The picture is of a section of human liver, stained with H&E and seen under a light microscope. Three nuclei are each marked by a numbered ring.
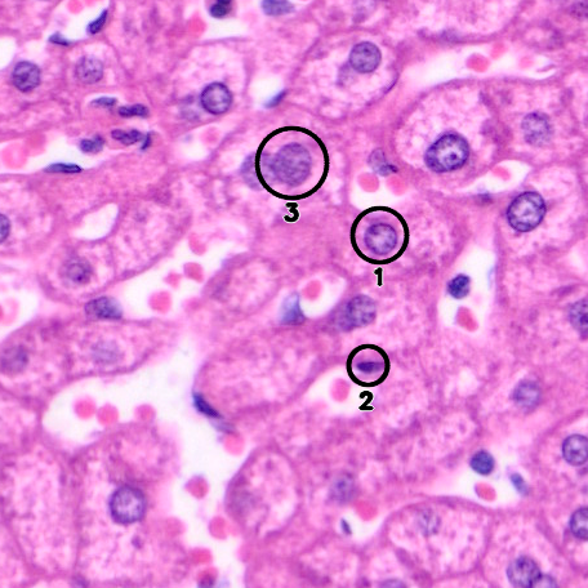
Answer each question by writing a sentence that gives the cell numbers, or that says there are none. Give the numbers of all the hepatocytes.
Identification: the cells with numbers 1 and 3 are hepatocytes.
